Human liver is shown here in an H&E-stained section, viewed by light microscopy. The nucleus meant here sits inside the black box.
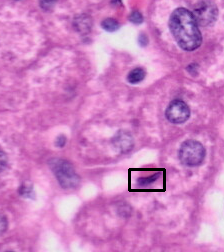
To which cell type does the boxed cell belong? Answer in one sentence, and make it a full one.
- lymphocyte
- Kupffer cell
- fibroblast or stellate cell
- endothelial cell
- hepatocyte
In this tissue section, the boxed cell is to be classed as an endothelial cell.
